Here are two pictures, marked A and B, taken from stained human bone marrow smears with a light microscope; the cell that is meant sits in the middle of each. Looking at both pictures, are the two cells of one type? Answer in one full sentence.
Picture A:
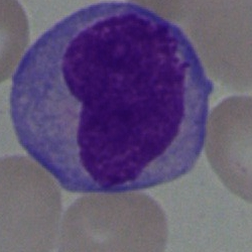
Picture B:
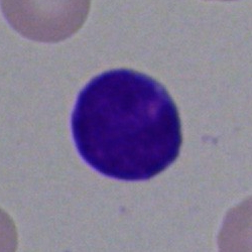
No, they differ: the cell is a monocyte in picture A and a blast in picture B.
